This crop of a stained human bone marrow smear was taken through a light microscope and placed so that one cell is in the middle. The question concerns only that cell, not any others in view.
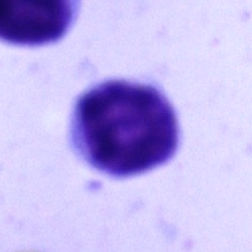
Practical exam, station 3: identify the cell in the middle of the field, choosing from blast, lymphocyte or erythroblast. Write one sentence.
The cell the crop is centered on is a lymphocyte.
